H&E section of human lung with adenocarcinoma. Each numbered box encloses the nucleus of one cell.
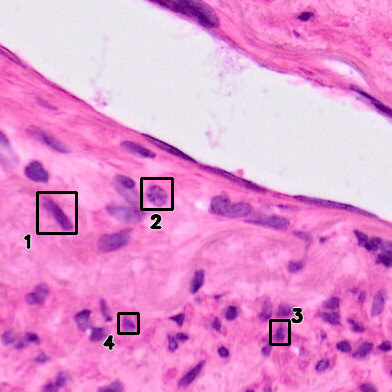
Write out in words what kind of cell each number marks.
Cell 1 is a smooth muscle cell or pericyte, cell 2 is a mast cell, cell 3 is a smooth muscle cell or pericyte and cell 4 is a smooth muscle cell or pericyte.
